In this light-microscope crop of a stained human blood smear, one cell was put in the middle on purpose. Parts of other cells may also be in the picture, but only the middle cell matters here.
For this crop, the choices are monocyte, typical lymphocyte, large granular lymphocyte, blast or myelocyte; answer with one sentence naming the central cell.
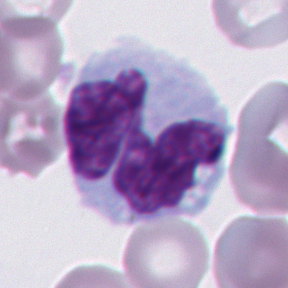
This crop has a monocyte at its centre.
